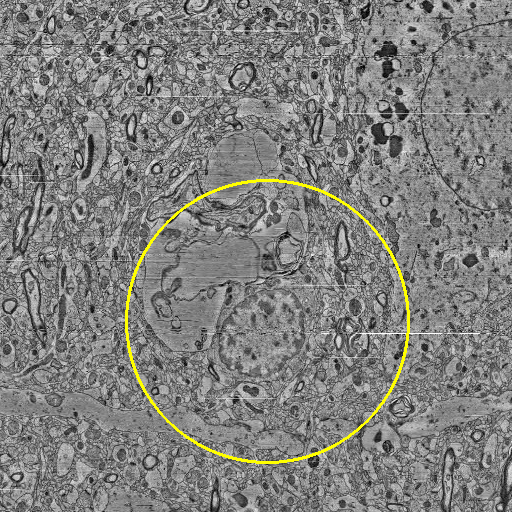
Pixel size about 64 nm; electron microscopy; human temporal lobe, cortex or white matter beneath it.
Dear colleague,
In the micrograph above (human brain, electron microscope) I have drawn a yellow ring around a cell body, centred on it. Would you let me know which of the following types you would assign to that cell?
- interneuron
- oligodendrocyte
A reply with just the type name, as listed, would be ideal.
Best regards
oligodendrocyte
